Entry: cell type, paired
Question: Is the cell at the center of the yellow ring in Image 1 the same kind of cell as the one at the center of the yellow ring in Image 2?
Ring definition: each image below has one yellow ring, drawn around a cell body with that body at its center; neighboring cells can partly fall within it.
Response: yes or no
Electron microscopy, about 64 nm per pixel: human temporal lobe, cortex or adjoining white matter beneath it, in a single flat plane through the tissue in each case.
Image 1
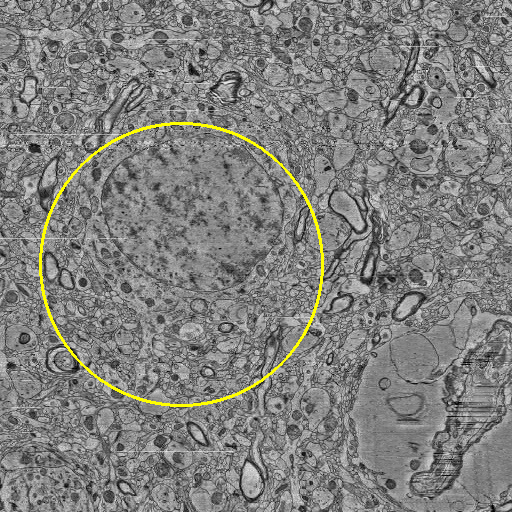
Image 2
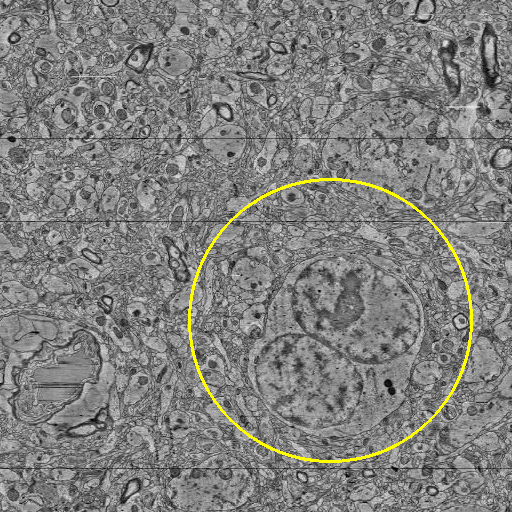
yes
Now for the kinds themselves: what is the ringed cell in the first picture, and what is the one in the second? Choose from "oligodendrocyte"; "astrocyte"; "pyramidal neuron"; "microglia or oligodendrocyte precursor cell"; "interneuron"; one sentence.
Each cell at the centre of a ring is an interneuron.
